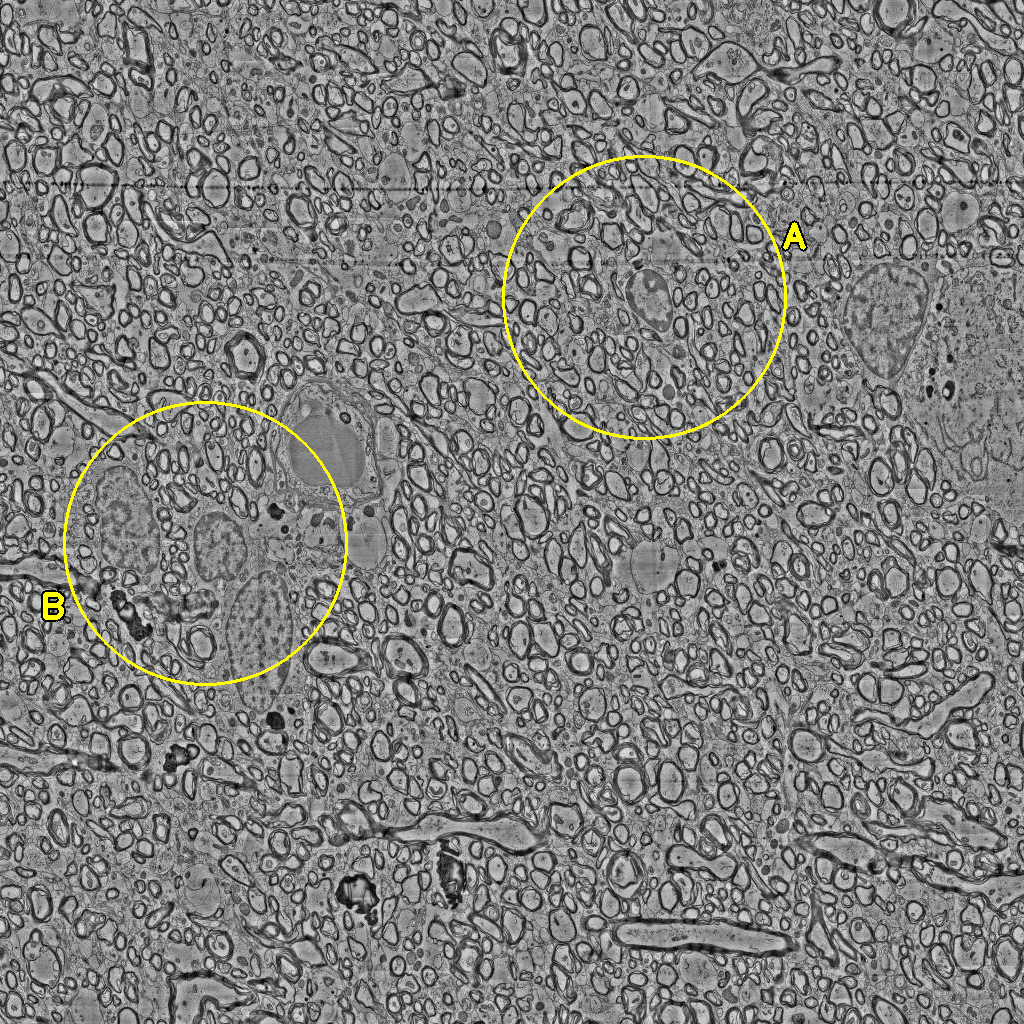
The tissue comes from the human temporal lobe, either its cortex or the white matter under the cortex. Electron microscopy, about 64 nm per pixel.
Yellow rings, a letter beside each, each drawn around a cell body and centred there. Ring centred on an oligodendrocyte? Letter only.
B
